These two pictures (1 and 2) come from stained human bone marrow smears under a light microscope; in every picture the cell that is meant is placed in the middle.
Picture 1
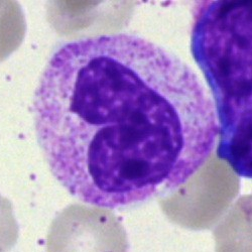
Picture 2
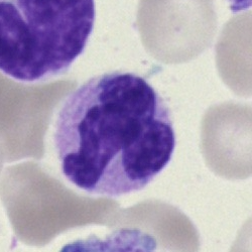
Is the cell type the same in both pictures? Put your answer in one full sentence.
Yes, both cells are band neutrophils.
